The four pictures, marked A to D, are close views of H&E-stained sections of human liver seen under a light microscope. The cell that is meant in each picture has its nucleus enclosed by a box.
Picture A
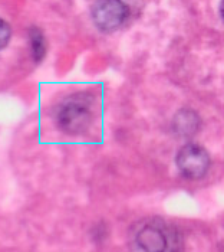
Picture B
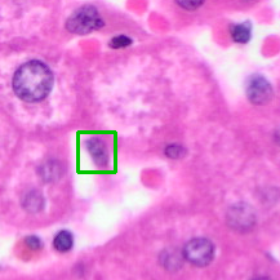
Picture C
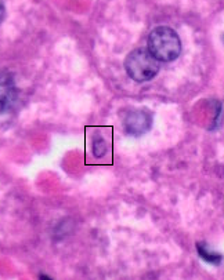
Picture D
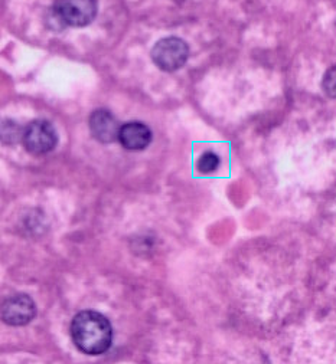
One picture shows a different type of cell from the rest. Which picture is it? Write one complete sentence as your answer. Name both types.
The others show Kupffer cells, but picture D shows a lymphocyte.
